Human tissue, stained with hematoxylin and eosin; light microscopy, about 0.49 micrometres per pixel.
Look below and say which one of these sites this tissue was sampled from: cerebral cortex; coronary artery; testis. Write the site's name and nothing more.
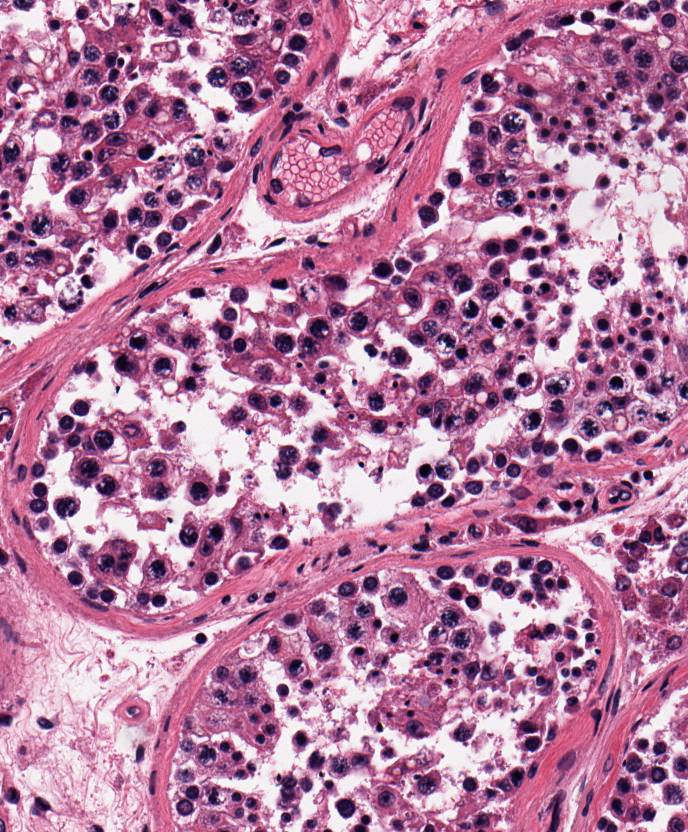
testis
